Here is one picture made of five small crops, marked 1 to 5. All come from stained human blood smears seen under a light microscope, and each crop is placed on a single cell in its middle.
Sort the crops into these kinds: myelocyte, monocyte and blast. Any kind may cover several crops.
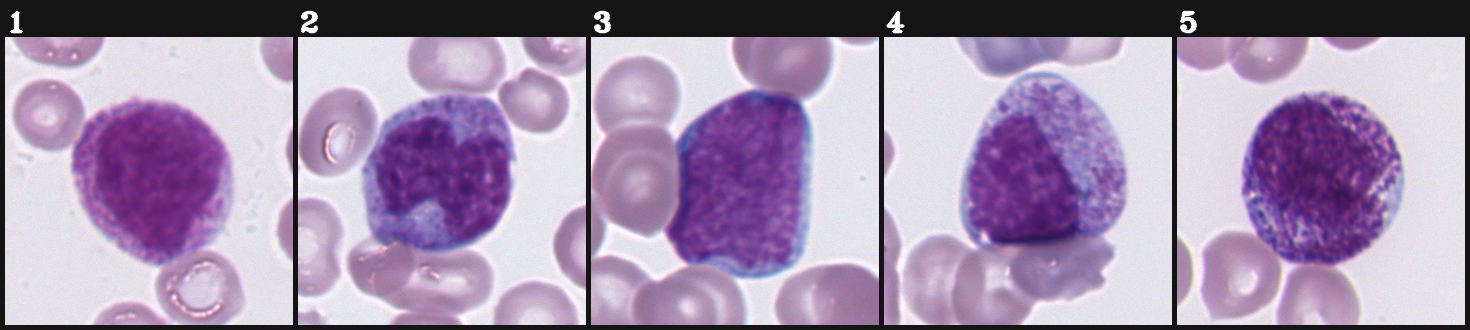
1: myelocyte
2: monocyte
3: blast
4: myelocyte
5: myelocyte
